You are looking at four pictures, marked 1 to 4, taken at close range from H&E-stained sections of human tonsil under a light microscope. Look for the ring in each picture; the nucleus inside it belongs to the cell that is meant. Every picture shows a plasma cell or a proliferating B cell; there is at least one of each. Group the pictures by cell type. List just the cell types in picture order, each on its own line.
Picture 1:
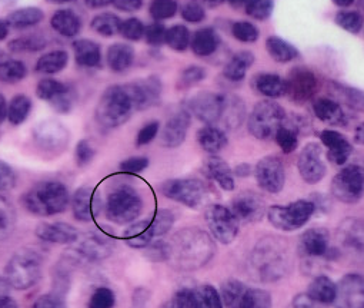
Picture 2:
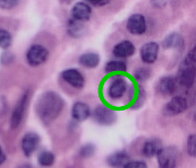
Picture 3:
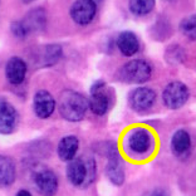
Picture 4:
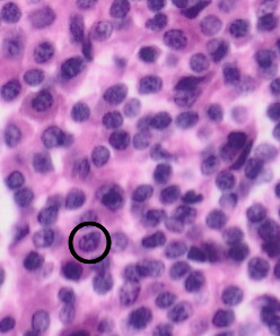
proliferating B cell
plasma cell
plasma cell
plasma cell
